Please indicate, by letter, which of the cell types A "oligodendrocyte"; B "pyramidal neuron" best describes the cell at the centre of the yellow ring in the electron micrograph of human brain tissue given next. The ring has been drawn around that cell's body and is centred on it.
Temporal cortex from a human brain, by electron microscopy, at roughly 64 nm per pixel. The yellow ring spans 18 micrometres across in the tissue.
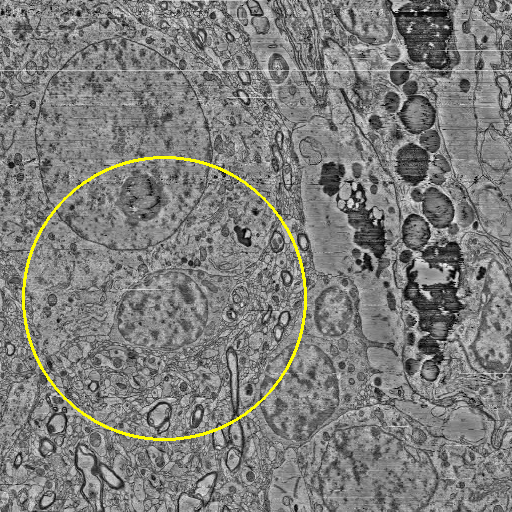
A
